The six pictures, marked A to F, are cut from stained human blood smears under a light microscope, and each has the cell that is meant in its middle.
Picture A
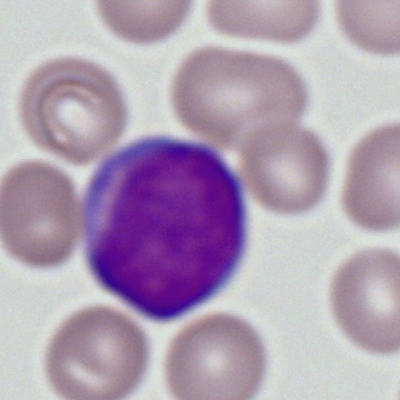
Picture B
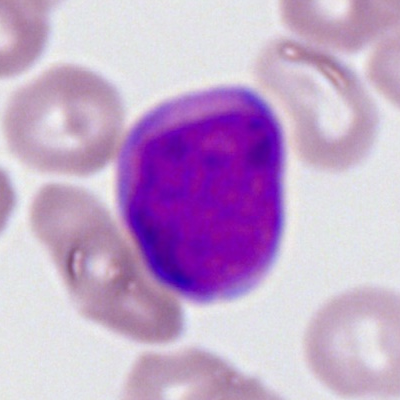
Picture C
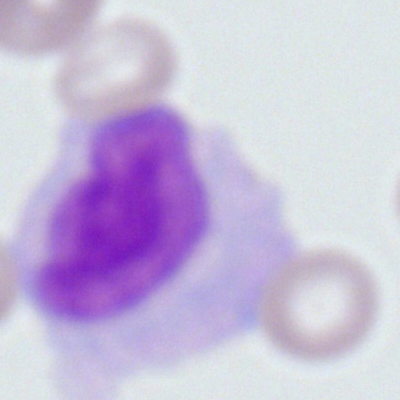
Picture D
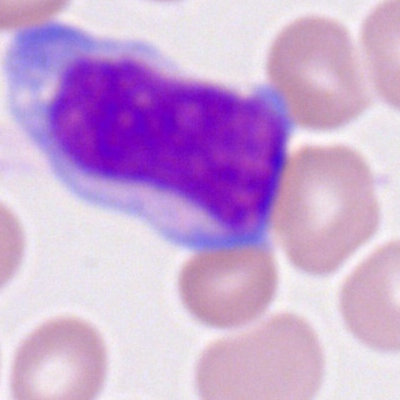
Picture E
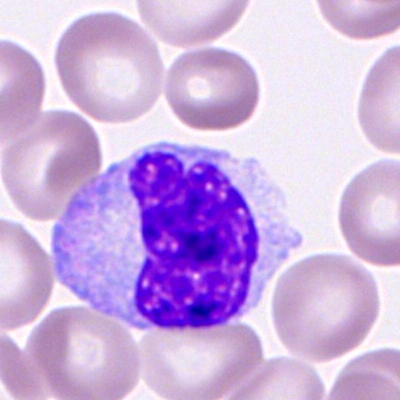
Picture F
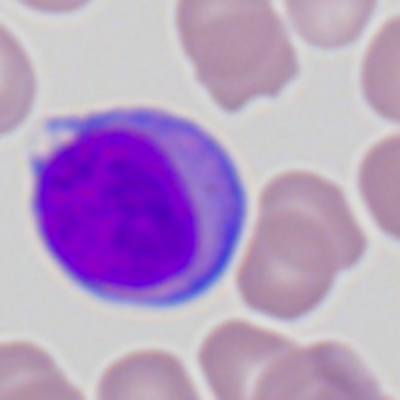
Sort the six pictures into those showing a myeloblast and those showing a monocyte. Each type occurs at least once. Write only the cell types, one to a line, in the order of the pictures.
myeloblast
myeloblast
monocyte
myeloblast
monocyte
myeloblast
